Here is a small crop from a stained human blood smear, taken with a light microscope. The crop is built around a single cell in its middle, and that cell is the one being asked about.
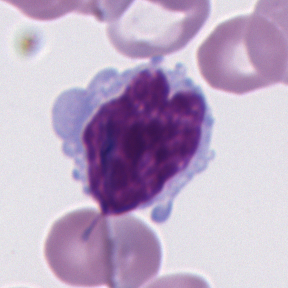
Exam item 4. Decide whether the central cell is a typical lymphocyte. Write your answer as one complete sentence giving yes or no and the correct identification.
Yes, the cell that is in the middle is a typical lymphocyte.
